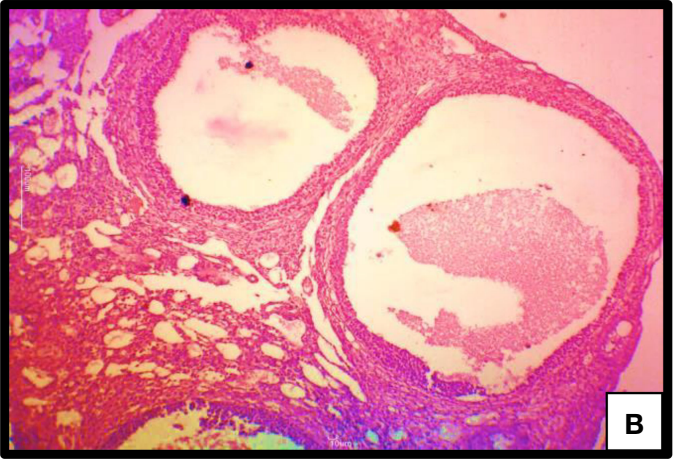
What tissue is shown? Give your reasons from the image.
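Large rounded follicle-like cavities lined by walls of many cell layers. Cellular stroma with vessels between the cavities.
Conclusion: ovary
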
